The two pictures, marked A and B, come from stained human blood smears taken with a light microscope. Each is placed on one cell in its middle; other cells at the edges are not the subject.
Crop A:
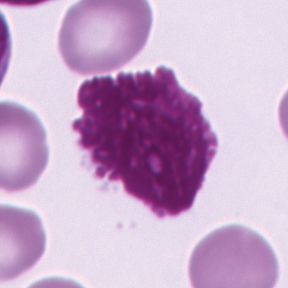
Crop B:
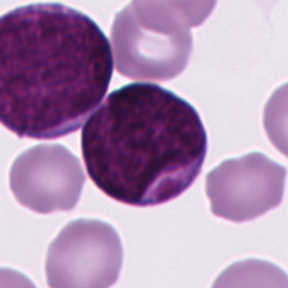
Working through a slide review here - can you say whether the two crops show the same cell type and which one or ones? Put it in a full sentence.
No, the assignment should read crop A, a smudge cell; crop B, a myeloblast.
